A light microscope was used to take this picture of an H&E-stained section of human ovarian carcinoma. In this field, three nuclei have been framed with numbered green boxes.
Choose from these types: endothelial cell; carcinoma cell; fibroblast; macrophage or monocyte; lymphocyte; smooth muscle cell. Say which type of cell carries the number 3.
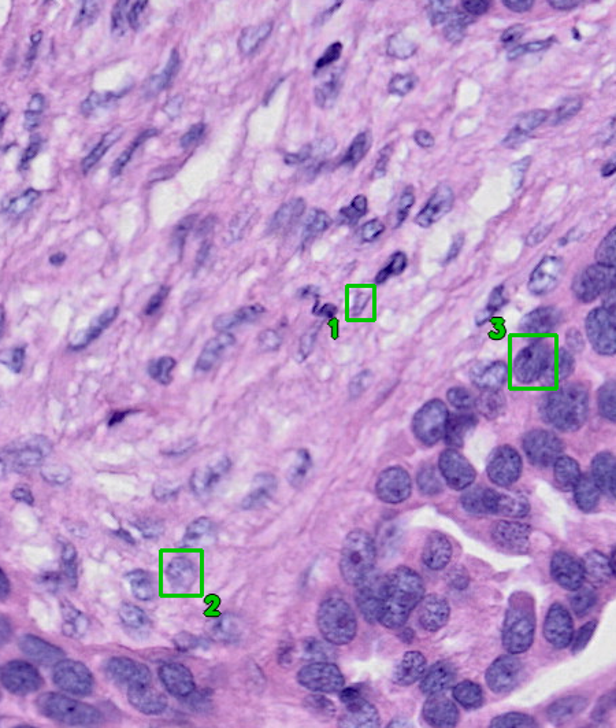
carcinoma cell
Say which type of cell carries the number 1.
fibroblast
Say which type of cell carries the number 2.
fibroblast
